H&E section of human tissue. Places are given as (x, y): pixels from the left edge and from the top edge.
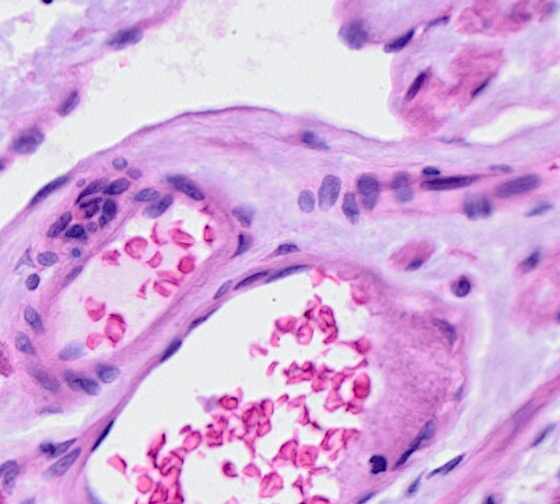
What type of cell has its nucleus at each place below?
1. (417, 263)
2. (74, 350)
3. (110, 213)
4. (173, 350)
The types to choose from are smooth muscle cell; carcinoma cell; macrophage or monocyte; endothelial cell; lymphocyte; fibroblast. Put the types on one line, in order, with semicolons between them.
smooth muscle cell; endothelial cell; endothelial cell; endothelial cell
